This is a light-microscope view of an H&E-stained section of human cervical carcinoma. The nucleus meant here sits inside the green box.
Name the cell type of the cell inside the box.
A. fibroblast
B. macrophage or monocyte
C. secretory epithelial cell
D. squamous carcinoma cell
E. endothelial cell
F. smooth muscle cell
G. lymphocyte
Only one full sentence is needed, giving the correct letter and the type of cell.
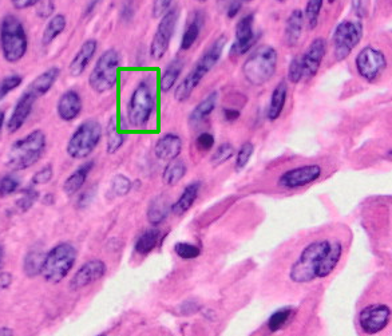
Option D, which has the cell inside the box as a squamous carcinoma cell, is the correct choice.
